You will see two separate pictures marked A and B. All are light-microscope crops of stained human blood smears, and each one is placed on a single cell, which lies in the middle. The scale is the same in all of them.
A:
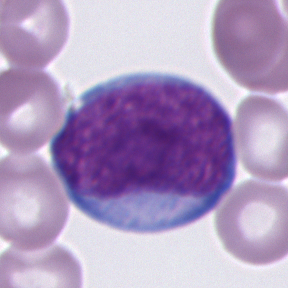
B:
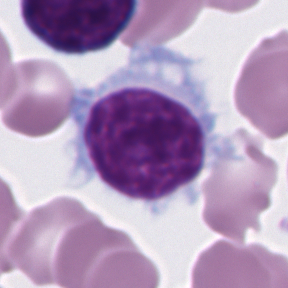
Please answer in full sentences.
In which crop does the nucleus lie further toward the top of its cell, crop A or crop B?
The nucleus in crop A lies further toward the top of its cell.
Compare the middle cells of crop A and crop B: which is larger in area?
Crop A holds the larger cell; it covers about 1.5 times the area of the cell in crop B.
